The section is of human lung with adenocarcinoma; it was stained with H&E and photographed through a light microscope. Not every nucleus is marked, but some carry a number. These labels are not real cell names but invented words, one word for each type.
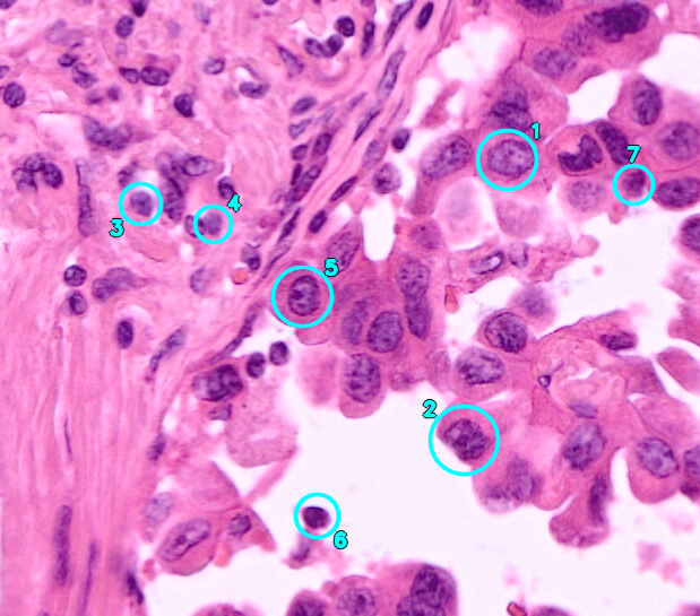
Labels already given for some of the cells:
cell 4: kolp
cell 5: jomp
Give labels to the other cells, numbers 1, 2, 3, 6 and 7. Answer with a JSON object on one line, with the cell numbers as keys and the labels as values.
{"1": "jomp", "2": "jomp", "3": "kolp", "6": "kolp", "7": "jomp"}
